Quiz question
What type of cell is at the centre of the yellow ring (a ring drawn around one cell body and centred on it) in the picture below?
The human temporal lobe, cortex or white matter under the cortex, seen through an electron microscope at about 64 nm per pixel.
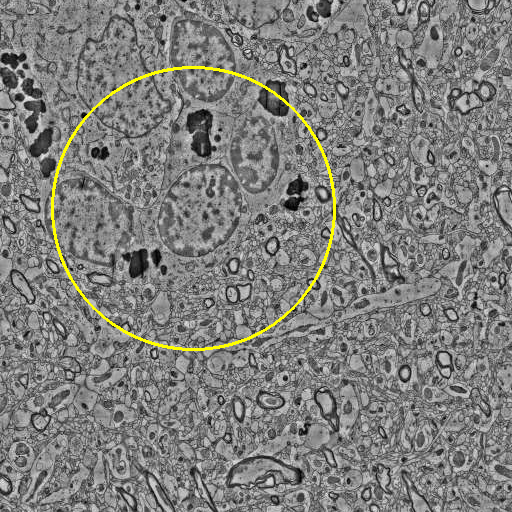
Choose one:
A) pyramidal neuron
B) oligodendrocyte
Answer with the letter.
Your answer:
B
